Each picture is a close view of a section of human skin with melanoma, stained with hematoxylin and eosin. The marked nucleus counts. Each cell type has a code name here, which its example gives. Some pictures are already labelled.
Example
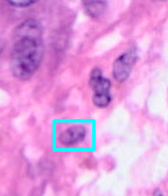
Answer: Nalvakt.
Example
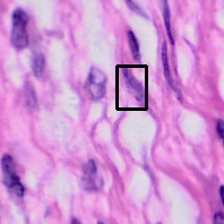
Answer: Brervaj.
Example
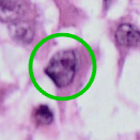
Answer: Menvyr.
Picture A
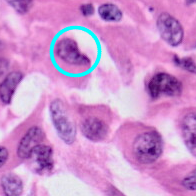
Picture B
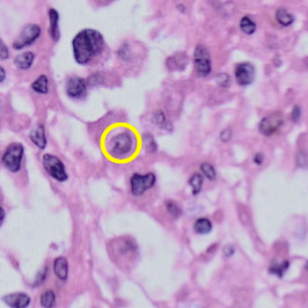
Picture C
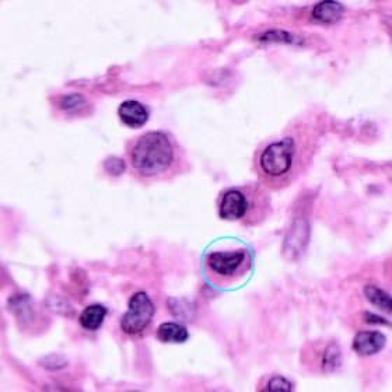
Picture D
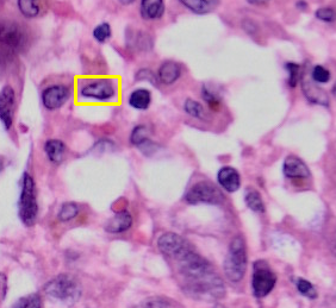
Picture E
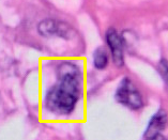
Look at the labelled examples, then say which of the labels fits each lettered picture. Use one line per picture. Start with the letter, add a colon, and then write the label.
A: Menvyr.
B: Nalvakt.
C: Nalvakt.
D: Nalvakt.
E: Menvyr.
